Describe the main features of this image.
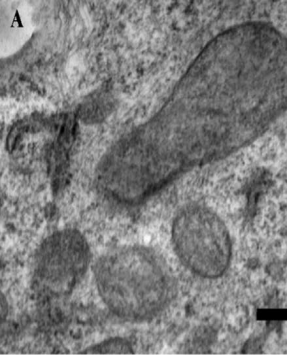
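The largest is elongated and has a fairly dense, grey matrix. Below it lie smaller oval mitochondria in which fine inner folds can be made out. The surrounding cytoplasm is finely granular and speckled with small dark particles.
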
